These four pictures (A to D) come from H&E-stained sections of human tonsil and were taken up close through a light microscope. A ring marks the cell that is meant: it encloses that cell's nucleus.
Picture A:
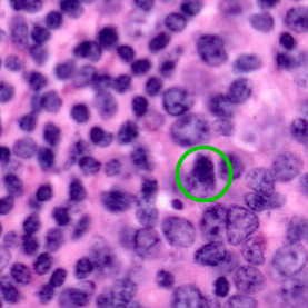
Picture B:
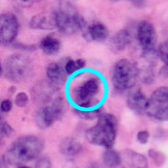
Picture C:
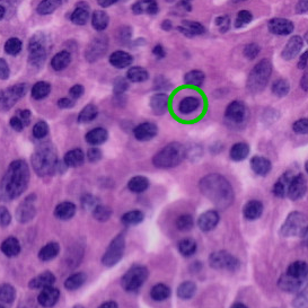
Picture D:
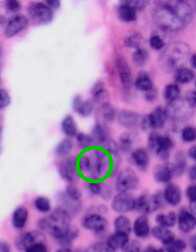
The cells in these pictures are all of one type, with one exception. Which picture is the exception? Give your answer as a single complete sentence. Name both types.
The others show proliferating B cells, but picture C shows a plasma cell.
